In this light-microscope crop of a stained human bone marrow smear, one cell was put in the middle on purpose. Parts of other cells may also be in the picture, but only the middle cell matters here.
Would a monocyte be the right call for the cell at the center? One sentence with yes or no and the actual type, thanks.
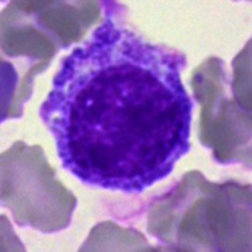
No, rather than a monocyte, the central cell is a myelocyte.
